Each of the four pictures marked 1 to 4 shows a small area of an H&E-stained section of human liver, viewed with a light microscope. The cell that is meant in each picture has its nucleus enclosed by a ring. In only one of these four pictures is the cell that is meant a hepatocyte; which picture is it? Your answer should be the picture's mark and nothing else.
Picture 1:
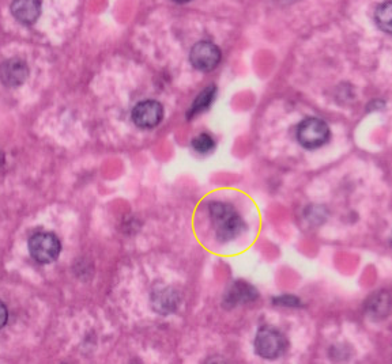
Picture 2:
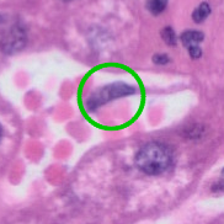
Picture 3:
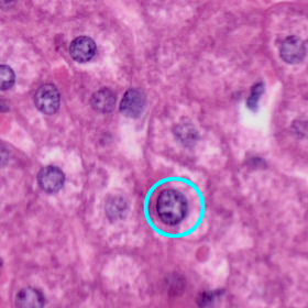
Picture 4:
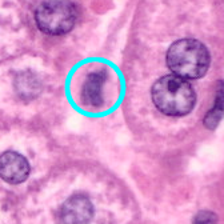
3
